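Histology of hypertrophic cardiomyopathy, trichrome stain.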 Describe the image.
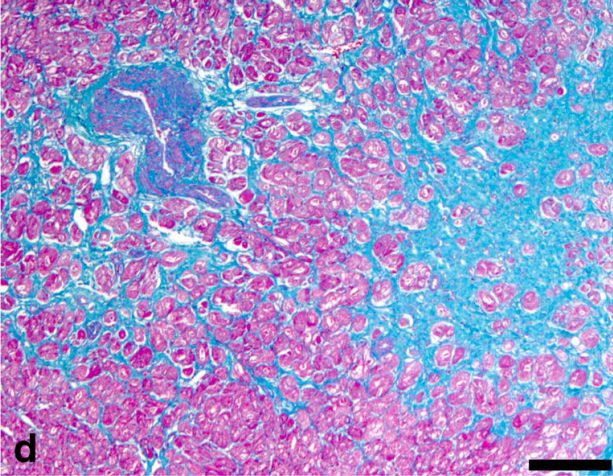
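This is heart muscle cut mostly across its fibres, with red muscle cells set in blue-green fibrous tissue. On the right a broad area of blue-green scar has taken the place of muscle, leaving only scattered isolated fibres.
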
